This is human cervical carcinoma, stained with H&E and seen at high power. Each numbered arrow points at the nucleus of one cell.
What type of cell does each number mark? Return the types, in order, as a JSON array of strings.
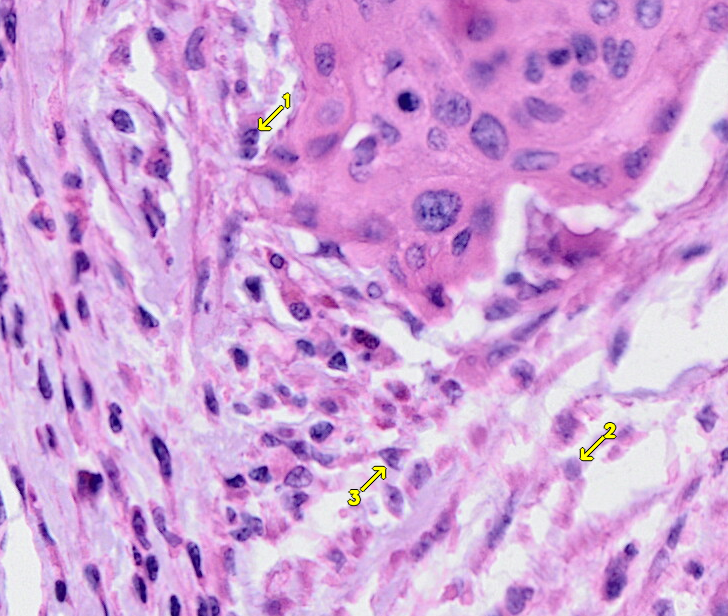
["macrophage or monocyte", "fibroblast", "fibroblast"]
